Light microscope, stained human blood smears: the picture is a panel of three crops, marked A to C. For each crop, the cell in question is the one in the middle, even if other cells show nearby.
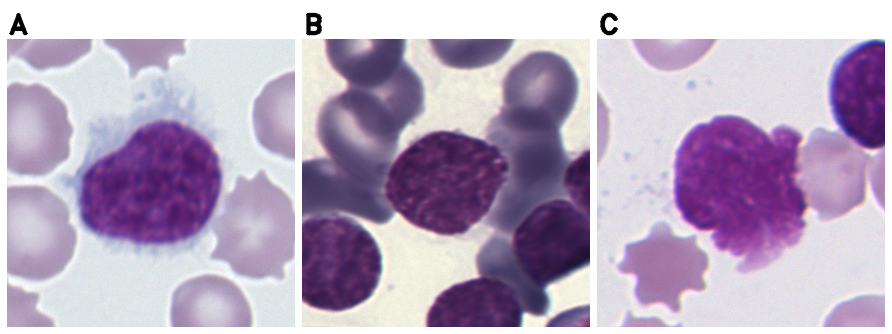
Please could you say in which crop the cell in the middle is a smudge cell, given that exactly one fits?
C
